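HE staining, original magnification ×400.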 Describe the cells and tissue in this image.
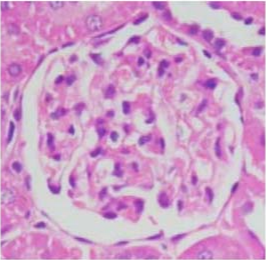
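Renal cortex with a single glomerulus in the centre, surrounded by tubules. The glomerular tuft is a compact lobulated mass of capillary loops with numerous dark purple nuclei and pink matrix. A clear space separates the tuft from the thin capsule. Surrounding tubules are lined by cuboidal cells with pink cytoplasm and round nuclei.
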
